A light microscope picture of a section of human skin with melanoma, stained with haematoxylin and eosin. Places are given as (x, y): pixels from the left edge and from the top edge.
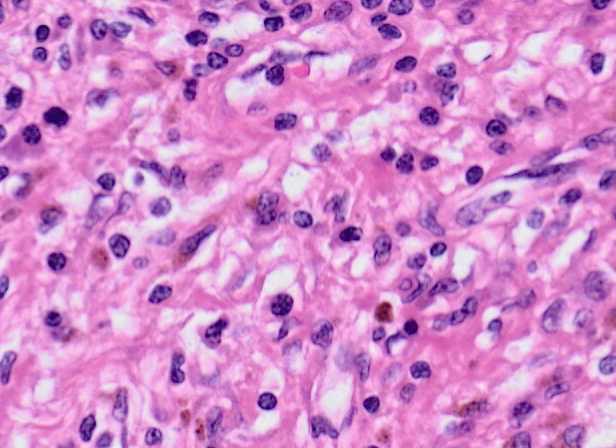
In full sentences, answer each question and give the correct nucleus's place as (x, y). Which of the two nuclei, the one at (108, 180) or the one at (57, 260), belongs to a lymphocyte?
The nucleus found at (108, 180) belongs to a lymphocyte.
